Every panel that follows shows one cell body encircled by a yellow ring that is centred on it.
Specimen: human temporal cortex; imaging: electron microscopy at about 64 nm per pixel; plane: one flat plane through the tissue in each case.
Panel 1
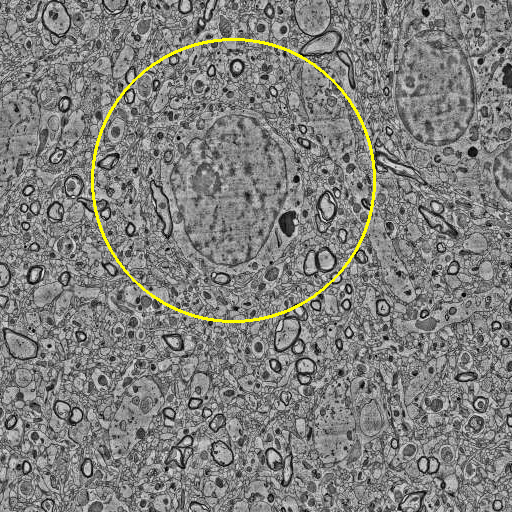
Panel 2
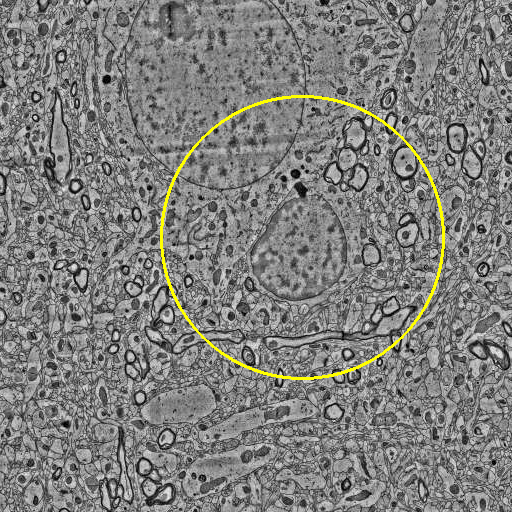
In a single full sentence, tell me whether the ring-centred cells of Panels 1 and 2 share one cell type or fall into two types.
In Panel 1 and Panel 2, the cells at the ring centres fall into two types.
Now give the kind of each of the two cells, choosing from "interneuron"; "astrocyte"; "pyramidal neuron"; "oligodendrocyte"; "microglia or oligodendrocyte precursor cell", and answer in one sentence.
The cell in the first picture is an interneuron, and the cell in the second is an oligodendrocyte.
